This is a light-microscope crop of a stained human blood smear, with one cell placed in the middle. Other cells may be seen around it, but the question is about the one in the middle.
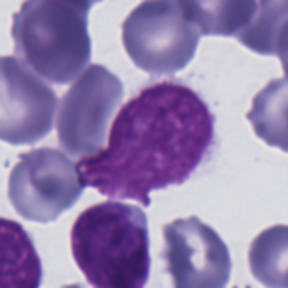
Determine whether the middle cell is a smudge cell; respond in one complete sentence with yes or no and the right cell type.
No, rather than being a smudge cell, the central cell is a myeloblast.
